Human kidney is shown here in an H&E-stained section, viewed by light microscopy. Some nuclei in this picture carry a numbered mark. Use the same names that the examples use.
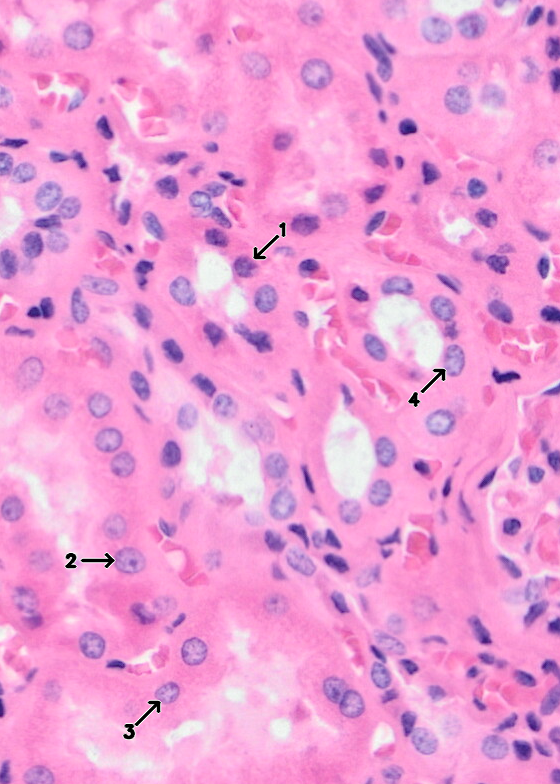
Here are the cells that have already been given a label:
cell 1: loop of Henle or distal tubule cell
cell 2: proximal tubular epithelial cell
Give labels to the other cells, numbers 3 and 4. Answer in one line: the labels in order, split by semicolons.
proximal tubular epithelial cell; loop of Henle or distal tubule cell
